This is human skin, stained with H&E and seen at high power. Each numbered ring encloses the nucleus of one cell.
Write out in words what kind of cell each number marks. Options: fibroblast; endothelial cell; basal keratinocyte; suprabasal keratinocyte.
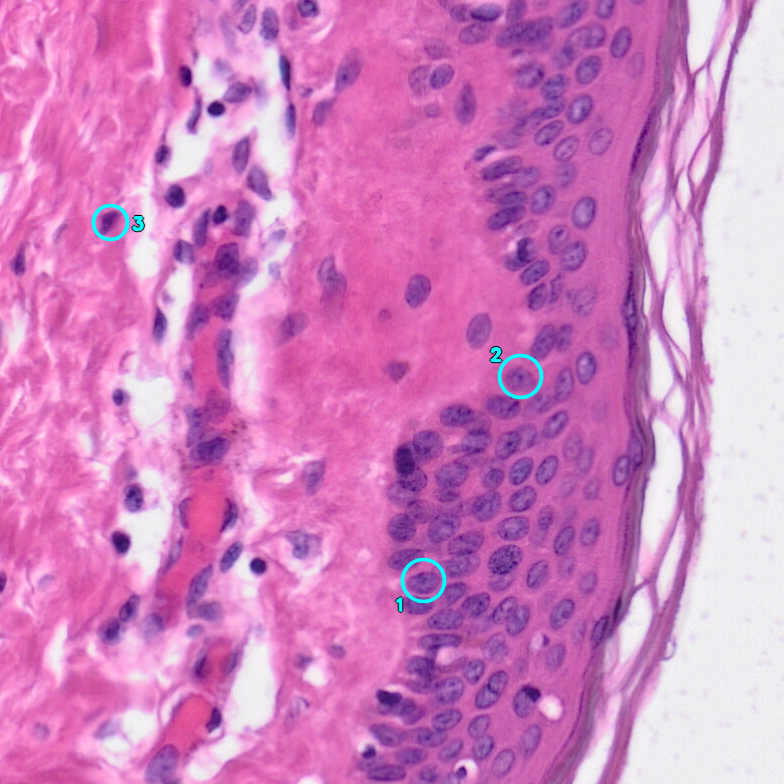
Cell 1 is a basal keratinocyte, cell 2 is a basal keratinocyte and cell 3 is a fibroblast.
